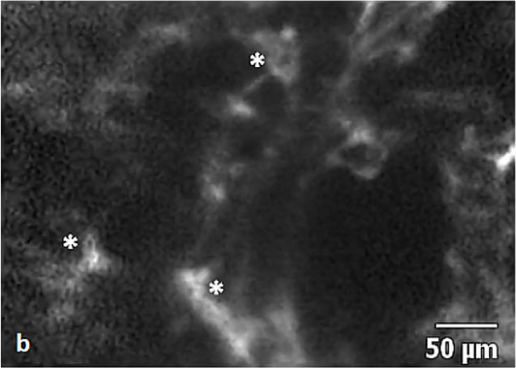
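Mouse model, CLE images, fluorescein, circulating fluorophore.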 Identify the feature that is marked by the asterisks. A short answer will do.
Vessels containing erythrocytes.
